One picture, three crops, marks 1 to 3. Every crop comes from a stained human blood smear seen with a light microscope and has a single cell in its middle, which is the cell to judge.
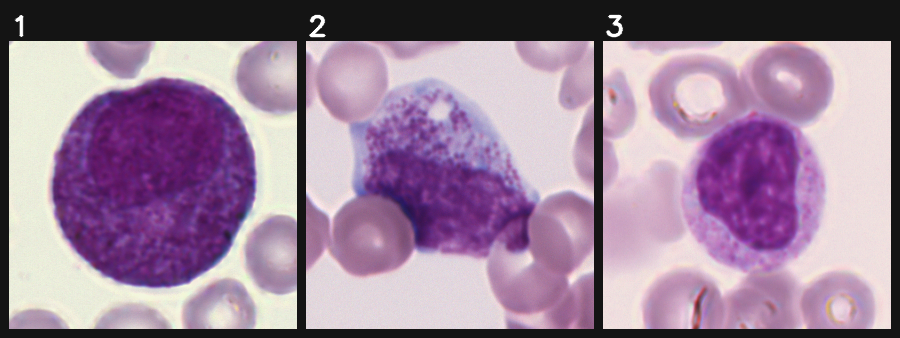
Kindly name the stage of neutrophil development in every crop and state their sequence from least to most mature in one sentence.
From least mature through to most mature, the order is crop 1 (a promyelocyte), crop 2 (a myelocyte) and crop 3 (a metamyelocyte).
